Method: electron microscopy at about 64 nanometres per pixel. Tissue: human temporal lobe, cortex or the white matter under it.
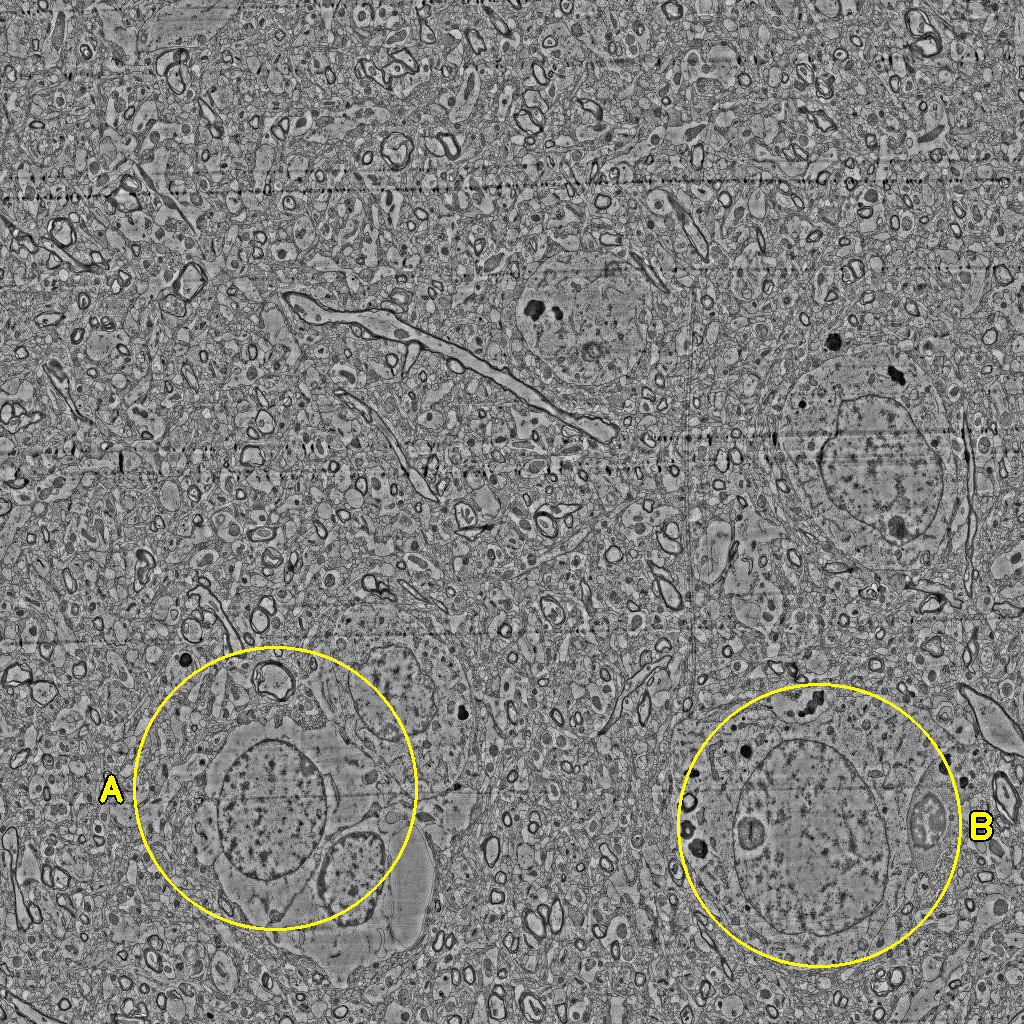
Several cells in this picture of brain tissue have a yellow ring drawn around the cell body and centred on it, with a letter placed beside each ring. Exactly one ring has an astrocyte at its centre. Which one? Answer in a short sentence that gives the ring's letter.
Ring A is centred on it.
